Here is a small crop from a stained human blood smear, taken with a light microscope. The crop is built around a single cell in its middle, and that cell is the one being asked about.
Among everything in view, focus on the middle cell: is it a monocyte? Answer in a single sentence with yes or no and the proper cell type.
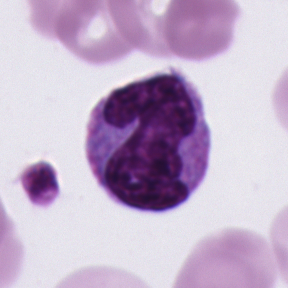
Yes, the middle cell in this crop is a monocyte.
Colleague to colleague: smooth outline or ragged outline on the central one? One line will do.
The border of this cell runs smooth and free of any projections.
